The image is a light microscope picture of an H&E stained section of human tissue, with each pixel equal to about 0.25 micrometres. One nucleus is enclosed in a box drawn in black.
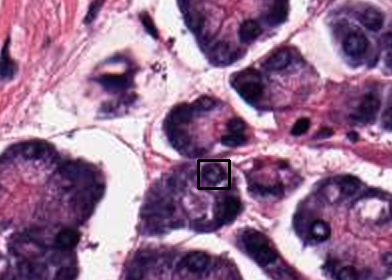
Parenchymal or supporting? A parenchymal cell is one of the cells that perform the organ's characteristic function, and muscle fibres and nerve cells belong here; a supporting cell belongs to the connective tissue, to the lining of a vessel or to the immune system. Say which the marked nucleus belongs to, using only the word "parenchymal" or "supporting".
parenchymal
